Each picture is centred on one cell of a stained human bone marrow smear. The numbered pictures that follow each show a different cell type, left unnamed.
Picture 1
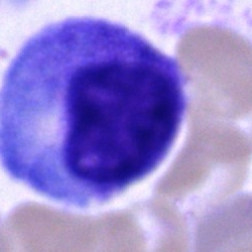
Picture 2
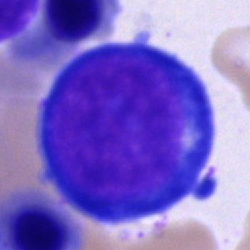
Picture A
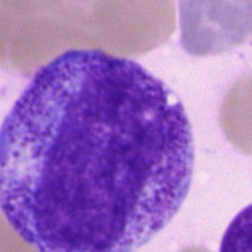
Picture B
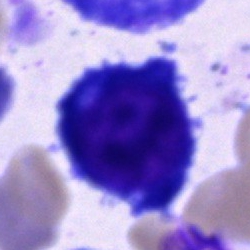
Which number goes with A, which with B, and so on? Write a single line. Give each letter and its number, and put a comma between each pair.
A 1, B 2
